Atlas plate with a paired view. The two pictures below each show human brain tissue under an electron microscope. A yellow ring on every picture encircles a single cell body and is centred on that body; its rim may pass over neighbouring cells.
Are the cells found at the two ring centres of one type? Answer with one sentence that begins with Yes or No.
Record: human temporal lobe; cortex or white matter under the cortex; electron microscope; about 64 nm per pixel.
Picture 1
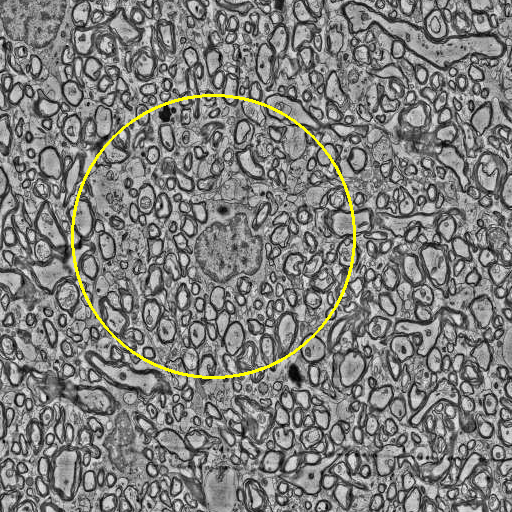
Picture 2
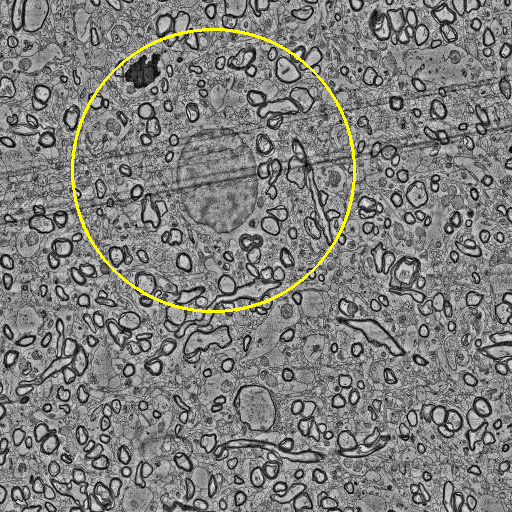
Yes, the two cells lying at the centres of the rings share a single type.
